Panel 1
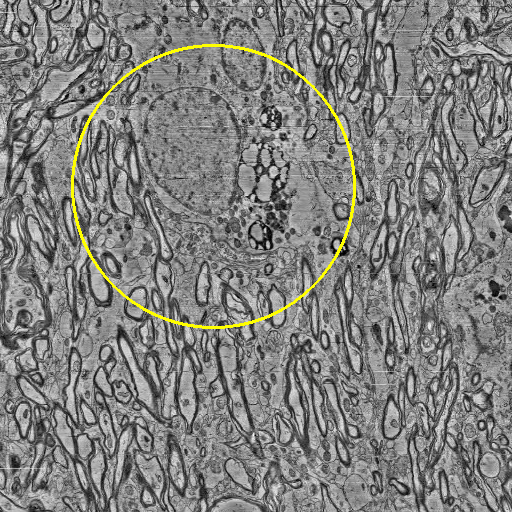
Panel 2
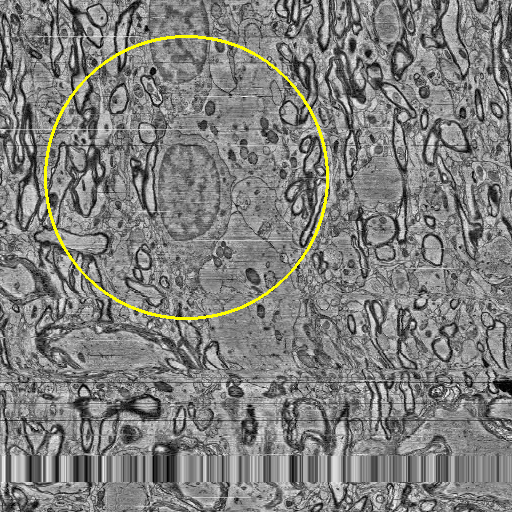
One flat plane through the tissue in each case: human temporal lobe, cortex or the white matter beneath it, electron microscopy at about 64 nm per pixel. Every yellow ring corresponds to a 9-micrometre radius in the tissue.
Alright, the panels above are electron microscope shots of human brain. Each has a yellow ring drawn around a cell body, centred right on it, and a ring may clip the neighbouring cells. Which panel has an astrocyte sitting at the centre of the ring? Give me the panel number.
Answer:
1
